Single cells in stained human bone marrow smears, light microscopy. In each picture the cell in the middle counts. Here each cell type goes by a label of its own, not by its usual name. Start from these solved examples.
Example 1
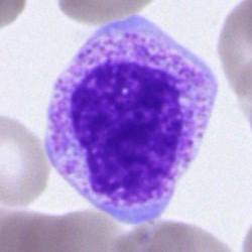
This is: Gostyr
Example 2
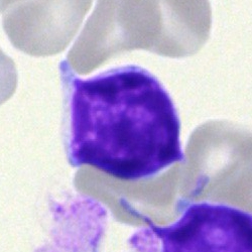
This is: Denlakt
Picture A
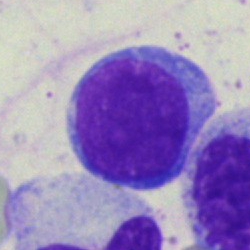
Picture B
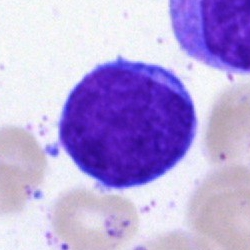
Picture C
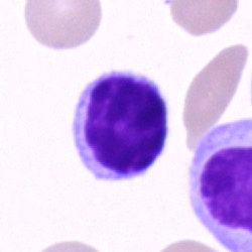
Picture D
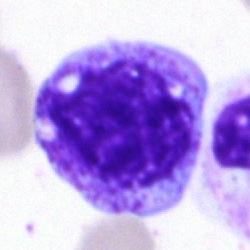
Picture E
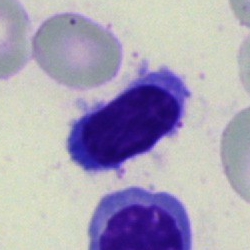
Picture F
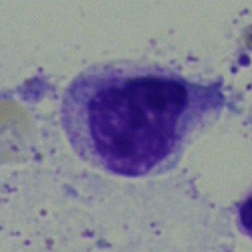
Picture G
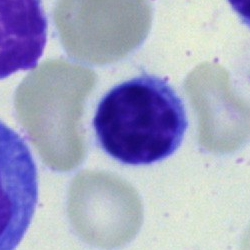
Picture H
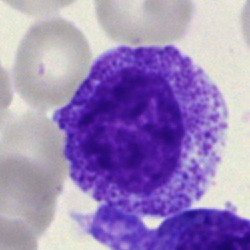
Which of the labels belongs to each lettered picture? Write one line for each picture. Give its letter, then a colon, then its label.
A: Denlakt
B: Denlakt
C: Denlakt
D: Gostyr
E: Denlakt
F: Gostyr
G: Denlakt
H: Gostyr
